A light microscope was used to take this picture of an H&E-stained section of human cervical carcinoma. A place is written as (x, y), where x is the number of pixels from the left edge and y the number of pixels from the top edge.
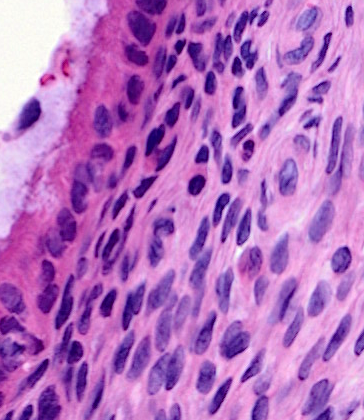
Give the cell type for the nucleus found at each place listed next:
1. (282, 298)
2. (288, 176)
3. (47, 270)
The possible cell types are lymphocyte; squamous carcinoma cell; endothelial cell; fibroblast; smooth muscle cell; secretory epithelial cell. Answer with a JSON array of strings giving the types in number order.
["fibroblast", "endothelial cell", "secretory epithelial cell"]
